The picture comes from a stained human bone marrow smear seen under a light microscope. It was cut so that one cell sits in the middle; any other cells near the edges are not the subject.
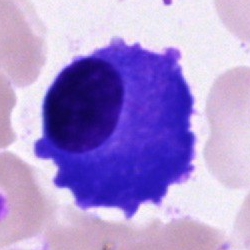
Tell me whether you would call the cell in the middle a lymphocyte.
no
